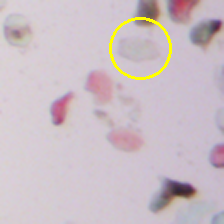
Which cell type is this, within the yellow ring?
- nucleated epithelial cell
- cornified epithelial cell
Within the ring is a cornified epithelial cell.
